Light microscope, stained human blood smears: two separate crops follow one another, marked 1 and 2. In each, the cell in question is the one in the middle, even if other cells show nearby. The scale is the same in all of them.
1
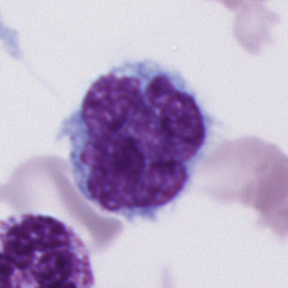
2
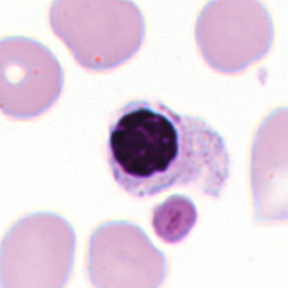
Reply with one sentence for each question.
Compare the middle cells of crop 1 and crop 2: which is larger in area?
Larger is the cell in crop 1, at roughly 2 times the area of the other.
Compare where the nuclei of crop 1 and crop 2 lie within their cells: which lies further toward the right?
In crop 1 the nucleus is shifted more toward the right.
